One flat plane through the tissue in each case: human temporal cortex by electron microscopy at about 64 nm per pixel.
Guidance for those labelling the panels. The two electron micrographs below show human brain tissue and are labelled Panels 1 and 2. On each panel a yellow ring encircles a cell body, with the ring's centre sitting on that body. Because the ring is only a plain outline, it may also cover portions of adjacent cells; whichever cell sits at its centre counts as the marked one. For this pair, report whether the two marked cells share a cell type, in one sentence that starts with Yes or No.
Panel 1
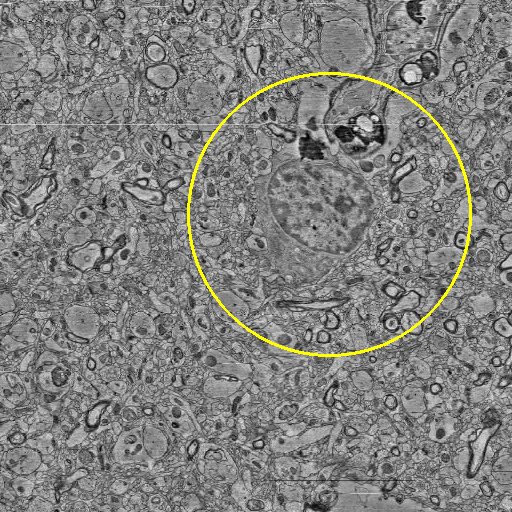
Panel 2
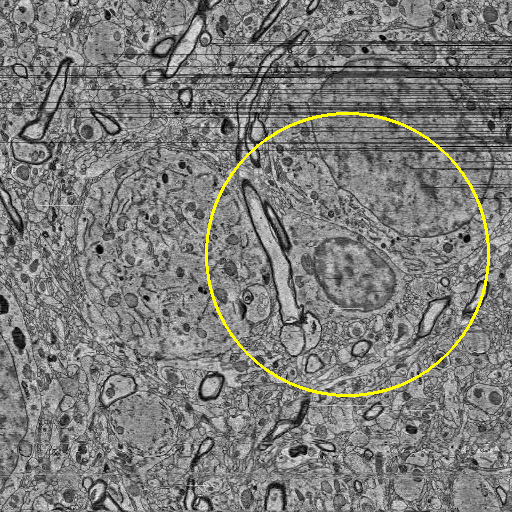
Yes, in Panel 1 and Panel 2 the marked cells at the ring centres share one type.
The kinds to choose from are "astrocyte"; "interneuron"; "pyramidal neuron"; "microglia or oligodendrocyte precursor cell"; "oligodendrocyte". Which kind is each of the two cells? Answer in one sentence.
The cell in the first picture is an oligodendrocyte, and so is the one in the second.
